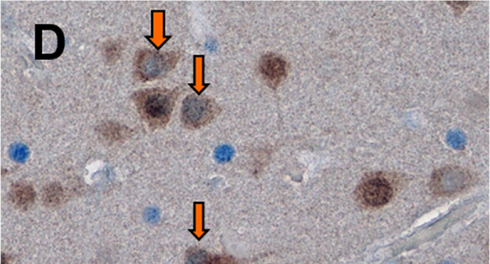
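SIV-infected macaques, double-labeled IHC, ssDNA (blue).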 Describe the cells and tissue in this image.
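Cerebral cortex with large neuronal cell bodies, some angular and pyramidal in shape, whose cytoplasm is stained brown. Several of these neurons have nuclei tinged blue-grey, while others have plain brown bodies. Small round nuclei stained bright blue lie scattered in the fine-textured neuropil between them. A small blood vessel runs across the lower right.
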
